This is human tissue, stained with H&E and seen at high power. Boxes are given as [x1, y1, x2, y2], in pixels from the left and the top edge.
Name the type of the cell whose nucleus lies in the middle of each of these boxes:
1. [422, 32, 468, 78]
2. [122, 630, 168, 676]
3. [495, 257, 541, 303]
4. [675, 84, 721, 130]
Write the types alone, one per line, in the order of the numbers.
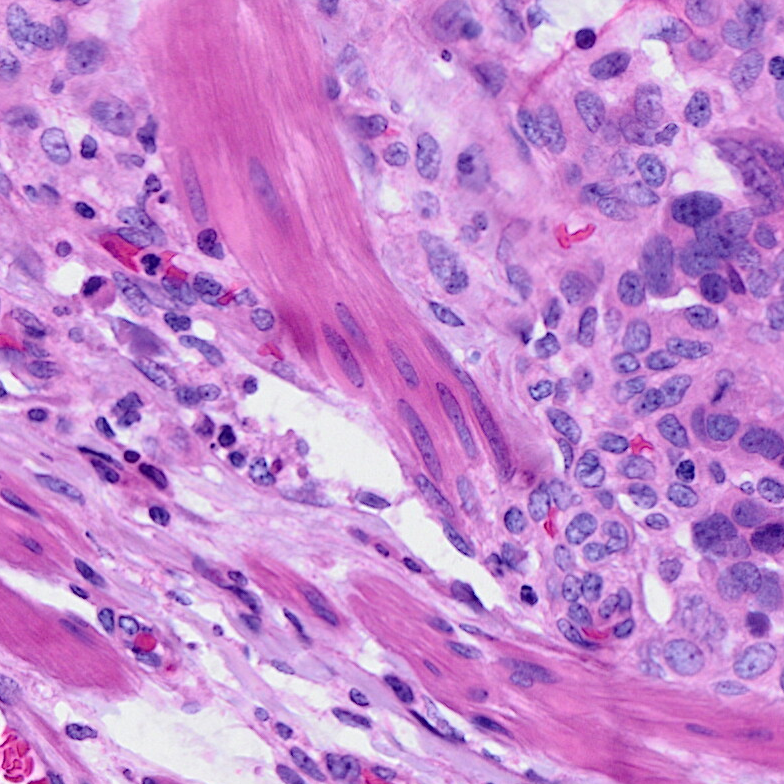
lymphocyte
endothelial cell
fibroblast
macrophage or monocyte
